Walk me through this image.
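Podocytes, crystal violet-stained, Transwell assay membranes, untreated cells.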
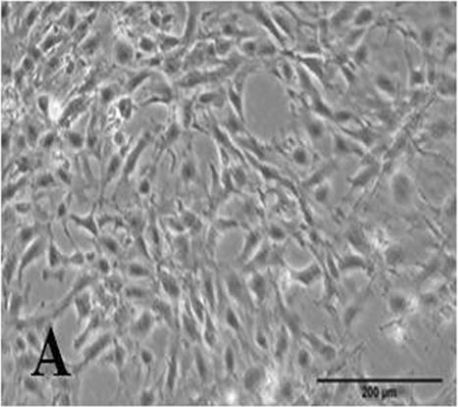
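Most cells are elongated or spindle-shaped, while others are broader and polygonal, and neighbours touch or overlap one another. Bright halos outline the cell edges, and only a few small, round, bright bodies lie scattered among the flattened cells. Very little empty background is left between the cells.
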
